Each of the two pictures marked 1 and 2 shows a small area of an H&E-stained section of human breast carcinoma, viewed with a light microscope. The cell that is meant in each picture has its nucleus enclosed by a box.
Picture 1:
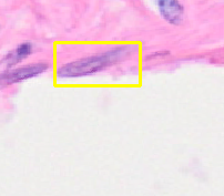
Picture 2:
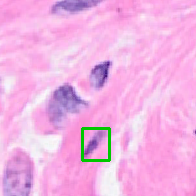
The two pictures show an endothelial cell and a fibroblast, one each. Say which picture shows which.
1: endothelial cell
2: fibroblast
